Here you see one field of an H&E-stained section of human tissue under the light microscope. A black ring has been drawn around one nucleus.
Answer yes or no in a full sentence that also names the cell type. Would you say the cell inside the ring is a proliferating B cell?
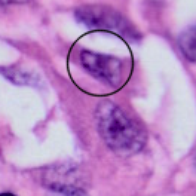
No, the cell inside the ring is not to be called a proliferating B cell; it is a melanoma cell.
